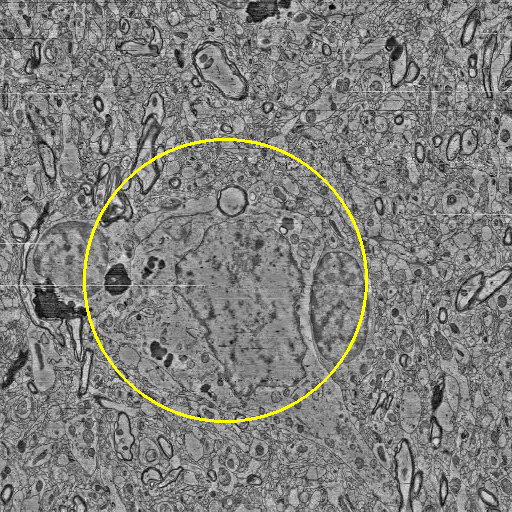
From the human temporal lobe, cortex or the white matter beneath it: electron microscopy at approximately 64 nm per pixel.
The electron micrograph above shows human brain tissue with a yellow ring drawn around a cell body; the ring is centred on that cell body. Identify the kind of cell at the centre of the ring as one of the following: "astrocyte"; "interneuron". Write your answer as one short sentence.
The cell at the centre of the ring is an interneuron.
